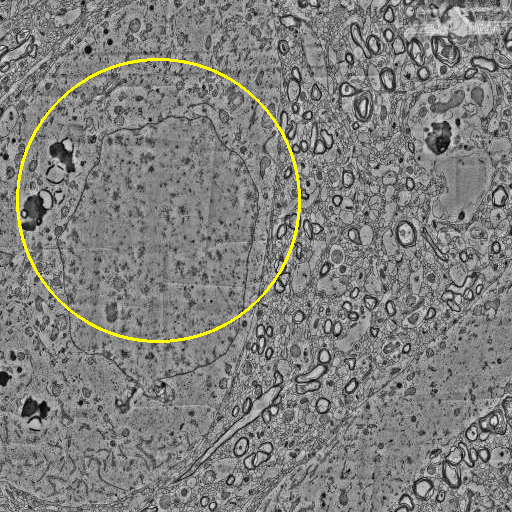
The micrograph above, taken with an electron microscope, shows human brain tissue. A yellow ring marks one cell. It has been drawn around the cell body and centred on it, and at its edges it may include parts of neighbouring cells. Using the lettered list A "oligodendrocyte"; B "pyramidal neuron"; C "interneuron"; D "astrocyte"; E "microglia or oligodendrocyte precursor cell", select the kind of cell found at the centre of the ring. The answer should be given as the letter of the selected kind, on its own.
B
